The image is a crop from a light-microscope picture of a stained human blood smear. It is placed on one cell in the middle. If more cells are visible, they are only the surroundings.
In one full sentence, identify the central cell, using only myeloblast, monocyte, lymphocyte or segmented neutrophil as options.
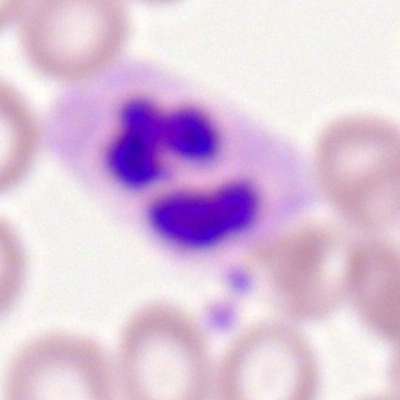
The cell marked by its central position in the crop is a segmented neutrophil.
